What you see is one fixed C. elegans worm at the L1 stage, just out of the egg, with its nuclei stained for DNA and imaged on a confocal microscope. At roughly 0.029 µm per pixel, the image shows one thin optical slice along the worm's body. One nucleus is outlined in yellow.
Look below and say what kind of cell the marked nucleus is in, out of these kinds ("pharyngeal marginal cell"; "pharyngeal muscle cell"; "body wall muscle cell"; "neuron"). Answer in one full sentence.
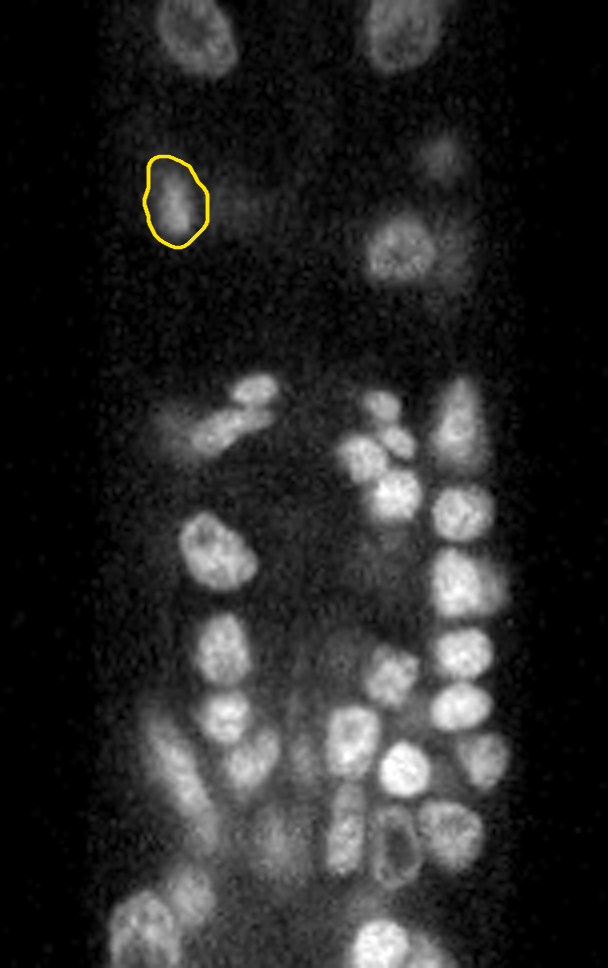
This nucleus is from a body wall muscle cell.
